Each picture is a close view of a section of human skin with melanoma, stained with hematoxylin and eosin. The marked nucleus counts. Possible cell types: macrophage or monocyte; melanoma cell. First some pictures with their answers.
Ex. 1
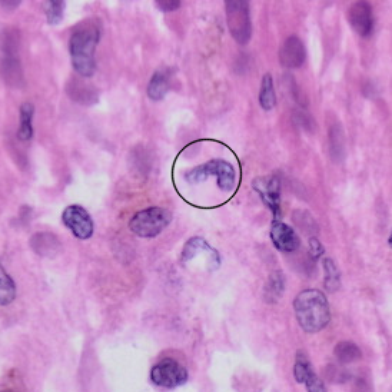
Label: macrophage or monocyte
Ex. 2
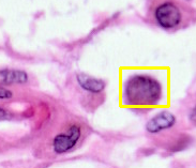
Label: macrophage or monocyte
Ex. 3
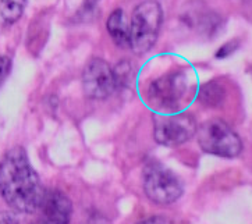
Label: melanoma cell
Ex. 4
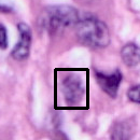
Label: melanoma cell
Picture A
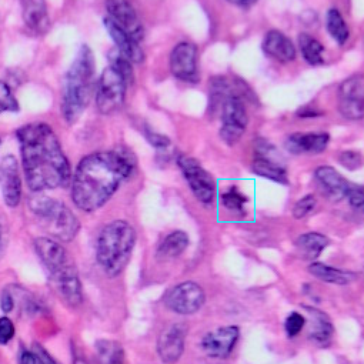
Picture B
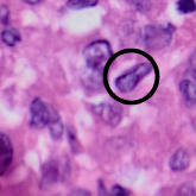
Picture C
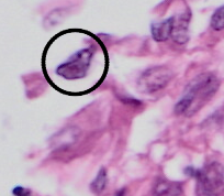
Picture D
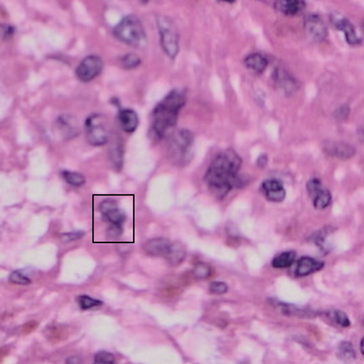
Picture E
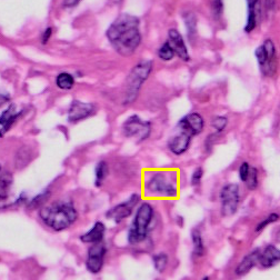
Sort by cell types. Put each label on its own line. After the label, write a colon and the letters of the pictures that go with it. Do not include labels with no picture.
macrophage or monocyte: B, D, E
melanoma cell: A, C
